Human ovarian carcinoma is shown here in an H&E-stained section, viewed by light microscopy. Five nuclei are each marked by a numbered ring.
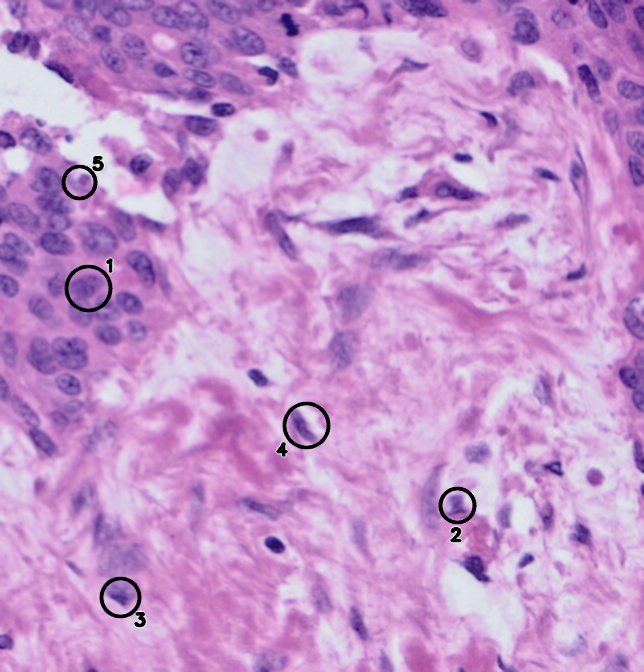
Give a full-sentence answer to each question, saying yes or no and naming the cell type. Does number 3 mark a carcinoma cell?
No, at number 3 sits a fibroblast, not a carcinoma cell.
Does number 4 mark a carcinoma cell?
No, cell 4 should be read as a fibroblast instead of a carcinoma cell.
